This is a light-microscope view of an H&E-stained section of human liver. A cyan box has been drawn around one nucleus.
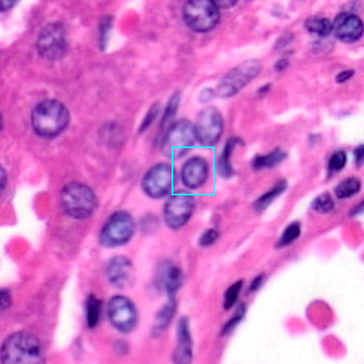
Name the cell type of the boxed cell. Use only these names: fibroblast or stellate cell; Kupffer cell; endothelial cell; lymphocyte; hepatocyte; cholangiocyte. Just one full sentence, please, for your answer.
By cell type, the boxed cell is a cholangiocyte.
